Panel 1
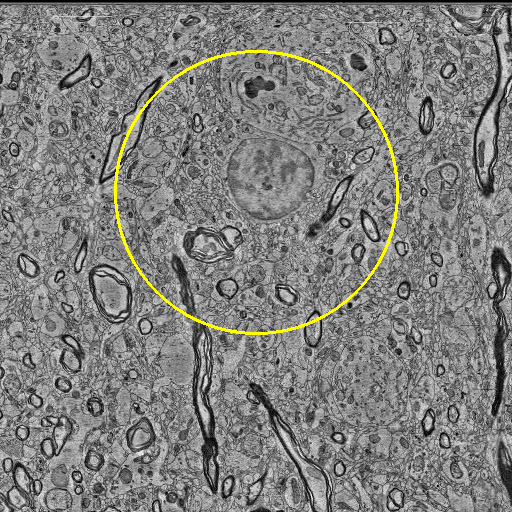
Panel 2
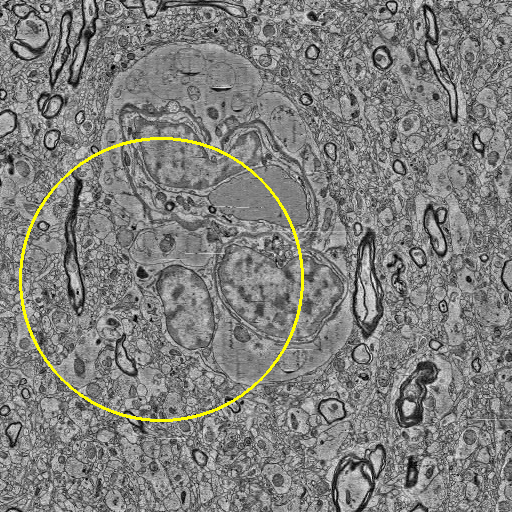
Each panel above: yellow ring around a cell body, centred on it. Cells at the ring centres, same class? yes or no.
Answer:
no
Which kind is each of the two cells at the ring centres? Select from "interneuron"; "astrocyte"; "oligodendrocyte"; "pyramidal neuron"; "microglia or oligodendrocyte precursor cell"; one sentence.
The cell at the centre of the ring is an oligodendrocyte in the first picture and a microglial cell or oligodendrocyte precursor cell in the second.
